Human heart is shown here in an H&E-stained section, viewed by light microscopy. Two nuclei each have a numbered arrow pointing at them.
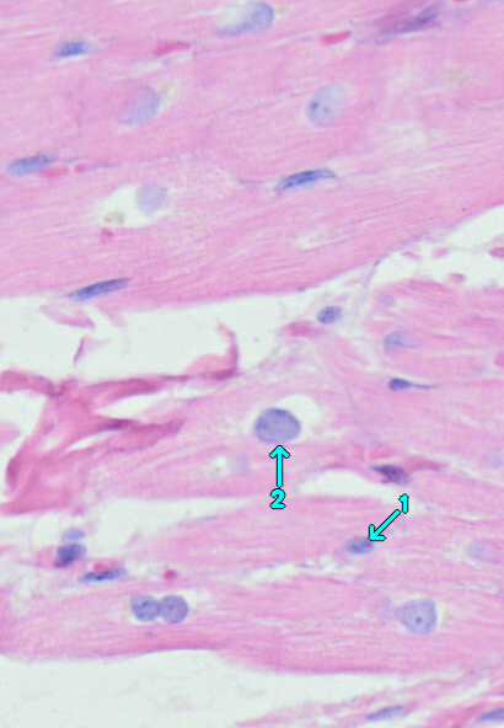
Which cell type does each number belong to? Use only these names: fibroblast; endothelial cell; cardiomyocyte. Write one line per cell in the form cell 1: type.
cell 1: endothelial cell
cell 2: cardiomyocyte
